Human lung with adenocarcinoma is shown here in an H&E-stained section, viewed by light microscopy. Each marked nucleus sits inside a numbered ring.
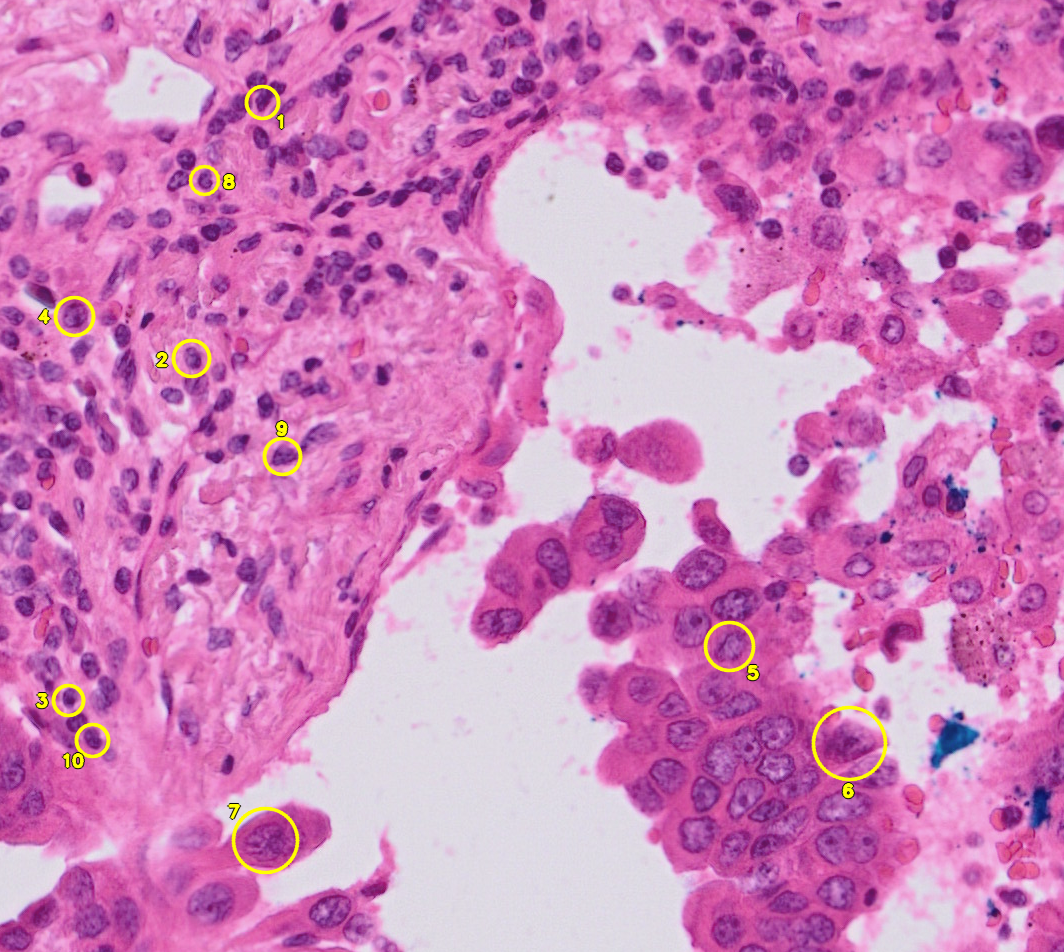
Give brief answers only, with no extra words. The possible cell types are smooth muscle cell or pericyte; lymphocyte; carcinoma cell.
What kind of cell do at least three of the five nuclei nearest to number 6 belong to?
carcinoma cell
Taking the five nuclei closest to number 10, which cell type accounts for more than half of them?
lymphocyte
